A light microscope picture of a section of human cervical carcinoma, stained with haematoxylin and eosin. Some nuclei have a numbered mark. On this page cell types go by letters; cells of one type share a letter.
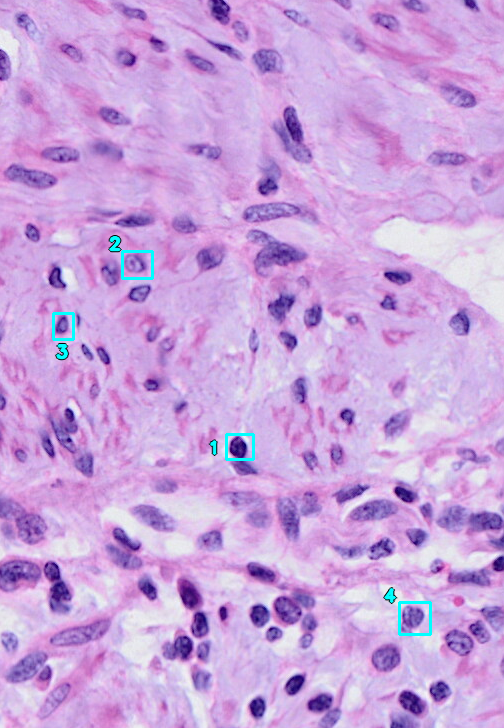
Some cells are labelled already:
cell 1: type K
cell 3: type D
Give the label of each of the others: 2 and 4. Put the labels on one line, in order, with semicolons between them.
type D; type K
